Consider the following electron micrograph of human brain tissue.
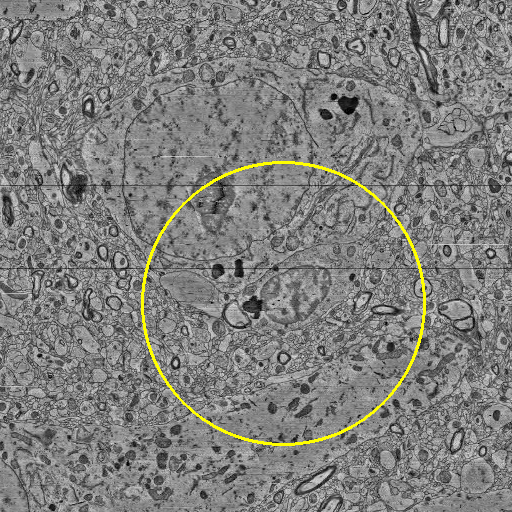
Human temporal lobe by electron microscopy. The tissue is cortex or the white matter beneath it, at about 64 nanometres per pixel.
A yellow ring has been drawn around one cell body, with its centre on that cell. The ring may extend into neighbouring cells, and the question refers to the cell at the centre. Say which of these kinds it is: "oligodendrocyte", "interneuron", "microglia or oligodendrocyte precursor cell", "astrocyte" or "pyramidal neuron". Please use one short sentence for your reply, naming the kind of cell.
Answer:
The centre of the ring falls on an oligodendrocyte.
